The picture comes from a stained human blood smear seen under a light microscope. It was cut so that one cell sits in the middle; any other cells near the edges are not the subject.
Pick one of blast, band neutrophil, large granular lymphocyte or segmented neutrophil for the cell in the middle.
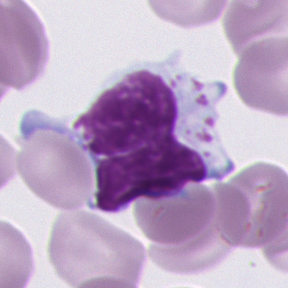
large granular lymphocyte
